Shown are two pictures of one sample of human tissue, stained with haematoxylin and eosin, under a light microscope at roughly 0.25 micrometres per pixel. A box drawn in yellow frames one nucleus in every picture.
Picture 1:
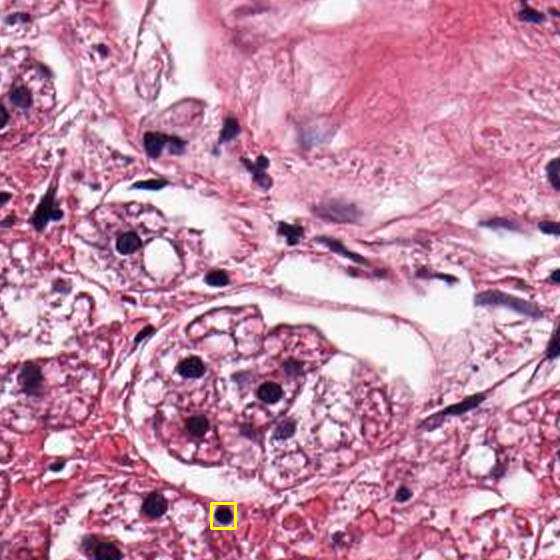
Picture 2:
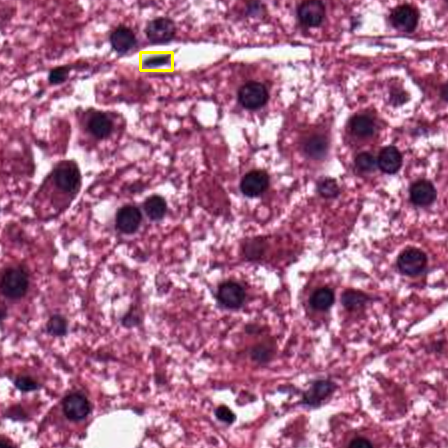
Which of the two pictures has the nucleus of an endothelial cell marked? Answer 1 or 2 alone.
2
